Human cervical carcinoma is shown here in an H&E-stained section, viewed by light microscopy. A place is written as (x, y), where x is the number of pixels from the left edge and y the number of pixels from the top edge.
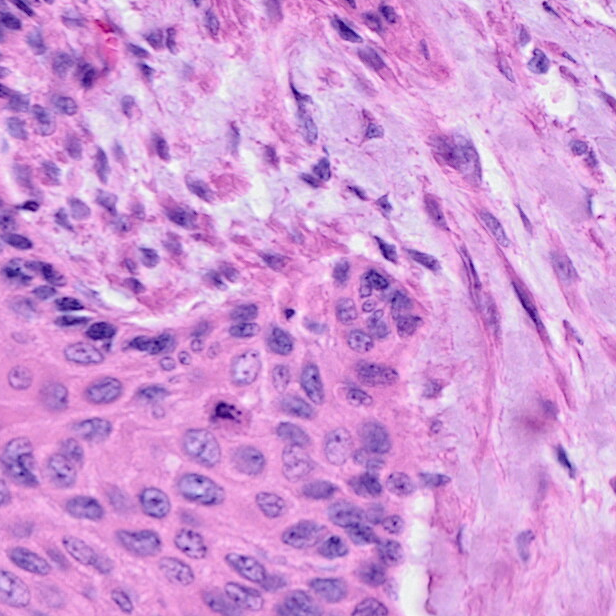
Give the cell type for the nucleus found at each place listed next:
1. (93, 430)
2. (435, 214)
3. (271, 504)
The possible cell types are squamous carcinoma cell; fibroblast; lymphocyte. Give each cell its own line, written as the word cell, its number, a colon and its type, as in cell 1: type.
cell 1: squamous carcinoma cell
cell 2: fibroblast
cell 3: squamous carcinoma cell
